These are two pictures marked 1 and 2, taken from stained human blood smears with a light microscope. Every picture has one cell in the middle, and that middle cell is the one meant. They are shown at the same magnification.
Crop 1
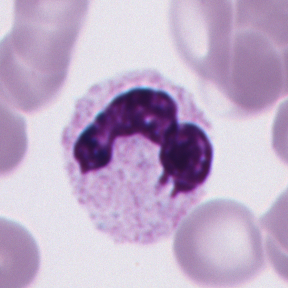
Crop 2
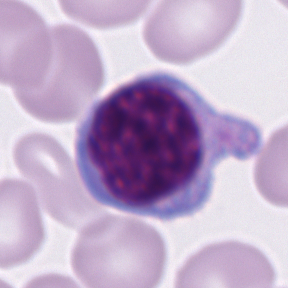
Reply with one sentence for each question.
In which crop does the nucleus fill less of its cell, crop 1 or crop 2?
In crop 1 the nucleus takes up the smaller part of its cell.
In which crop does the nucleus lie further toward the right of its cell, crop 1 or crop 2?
It is the nucleus in crop 1 that lies further toward the right of its cell.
